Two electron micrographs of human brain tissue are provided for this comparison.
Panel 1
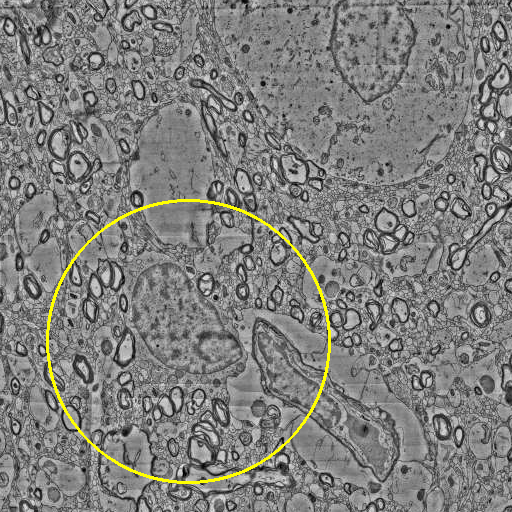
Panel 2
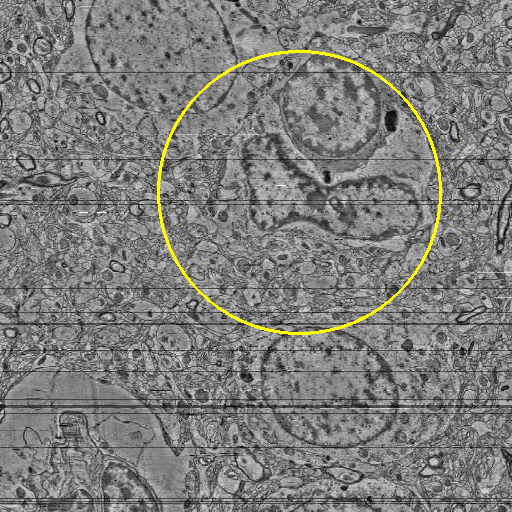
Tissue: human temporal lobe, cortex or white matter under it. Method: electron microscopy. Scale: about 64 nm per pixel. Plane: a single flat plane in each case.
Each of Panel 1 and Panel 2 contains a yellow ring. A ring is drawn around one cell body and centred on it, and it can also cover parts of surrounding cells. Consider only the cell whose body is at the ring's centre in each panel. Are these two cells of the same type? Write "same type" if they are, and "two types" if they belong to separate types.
two types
